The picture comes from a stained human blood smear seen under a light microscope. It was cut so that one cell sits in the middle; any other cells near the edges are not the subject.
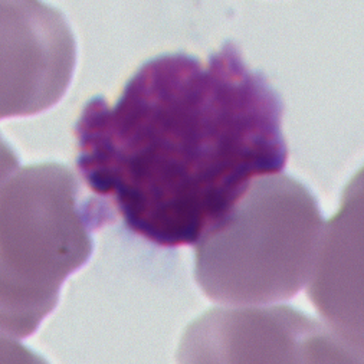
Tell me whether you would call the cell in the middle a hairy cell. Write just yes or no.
no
